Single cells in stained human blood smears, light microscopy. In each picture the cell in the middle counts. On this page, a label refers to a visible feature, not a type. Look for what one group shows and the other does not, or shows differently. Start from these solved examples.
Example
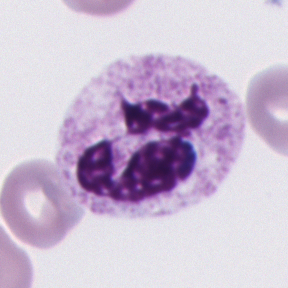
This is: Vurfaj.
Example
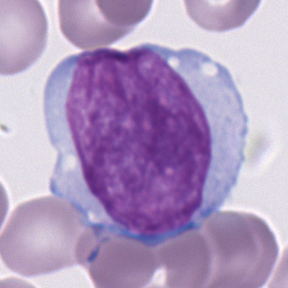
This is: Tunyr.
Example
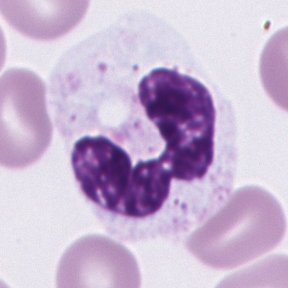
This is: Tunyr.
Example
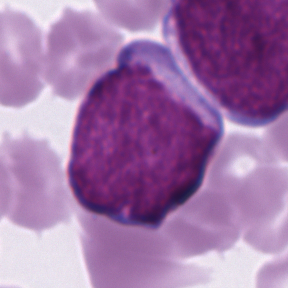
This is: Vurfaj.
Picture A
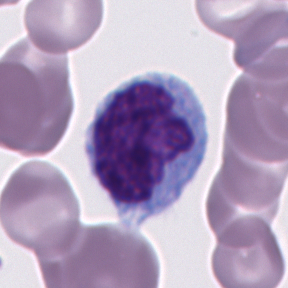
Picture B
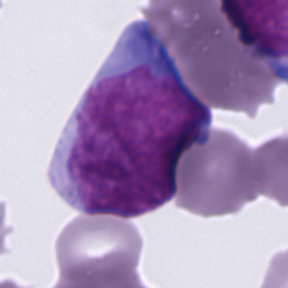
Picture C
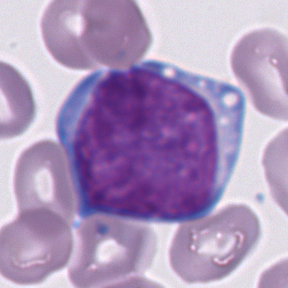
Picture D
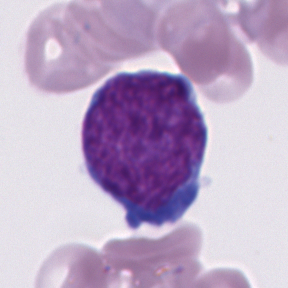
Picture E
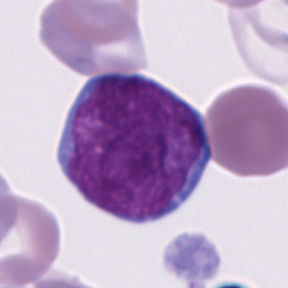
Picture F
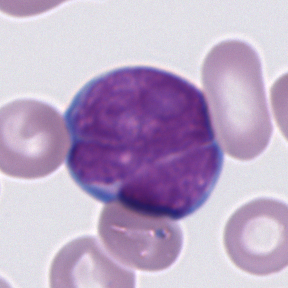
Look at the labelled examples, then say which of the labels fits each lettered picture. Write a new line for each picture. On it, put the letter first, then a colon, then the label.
A: Vurfaj.
B: Vurfaj.
C: Tunyr.
D: Vurfaj.
E: Vurfaj.
F: Vurfaj.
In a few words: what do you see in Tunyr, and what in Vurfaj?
Tunyr: vacuoles present; Vurfaj: no vacuoles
